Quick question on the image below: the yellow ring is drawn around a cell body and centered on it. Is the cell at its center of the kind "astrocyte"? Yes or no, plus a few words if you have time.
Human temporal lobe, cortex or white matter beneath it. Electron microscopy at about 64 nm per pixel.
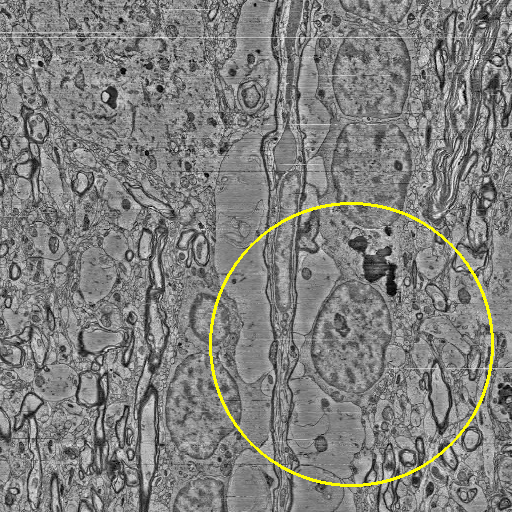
No, the cell at the center is of another kind.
